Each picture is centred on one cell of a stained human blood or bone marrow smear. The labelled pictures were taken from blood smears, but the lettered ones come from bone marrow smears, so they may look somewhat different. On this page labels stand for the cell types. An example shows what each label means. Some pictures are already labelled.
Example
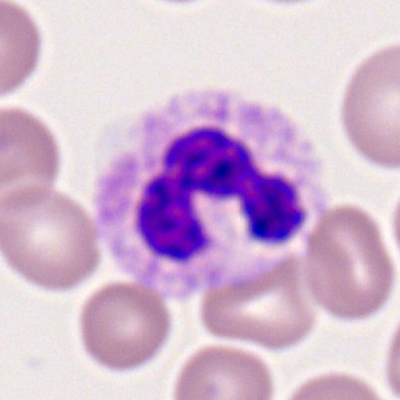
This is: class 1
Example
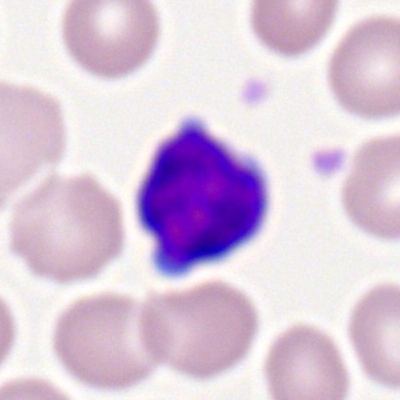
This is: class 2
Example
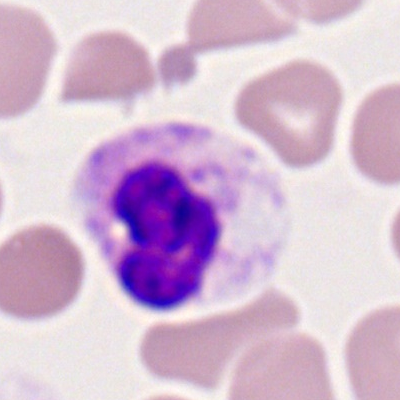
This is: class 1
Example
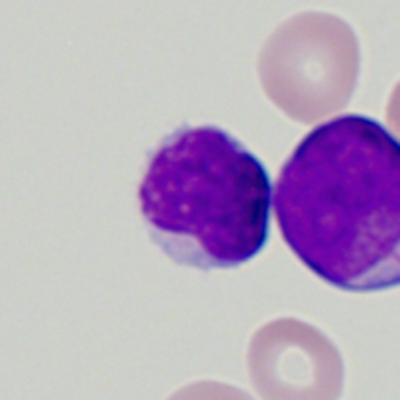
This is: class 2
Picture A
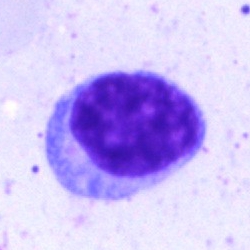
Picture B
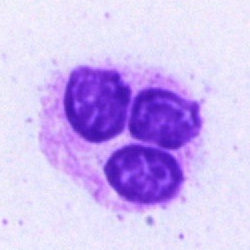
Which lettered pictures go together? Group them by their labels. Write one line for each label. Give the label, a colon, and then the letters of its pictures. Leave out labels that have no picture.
class 1: B
class 2: A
